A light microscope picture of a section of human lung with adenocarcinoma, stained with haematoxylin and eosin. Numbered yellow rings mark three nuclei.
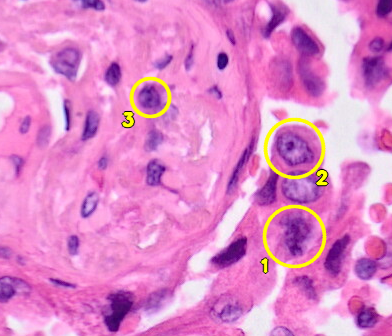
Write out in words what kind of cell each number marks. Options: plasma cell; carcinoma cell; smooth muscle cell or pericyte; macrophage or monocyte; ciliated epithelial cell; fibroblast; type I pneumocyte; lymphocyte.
Cell 1 is a carcinoma cell, cell 2 is a carcinoma cell and cell 3 is a plasma cell.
